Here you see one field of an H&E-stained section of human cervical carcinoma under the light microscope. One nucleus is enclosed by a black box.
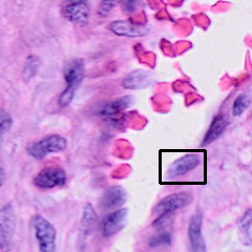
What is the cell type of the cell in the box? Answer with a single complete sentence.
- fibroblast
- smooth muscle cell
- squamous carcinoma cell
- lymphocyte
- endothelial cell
The cell meant here is an endothelial cell.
